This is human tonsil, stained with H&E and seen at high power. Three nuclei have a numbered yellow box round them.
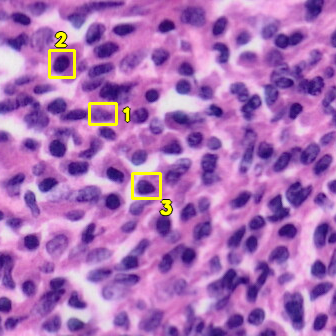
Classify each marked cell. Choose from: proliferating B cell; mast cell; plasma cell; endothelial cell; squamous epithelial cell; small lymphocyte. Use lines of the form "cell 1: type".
cell 1: squamous epithelial cell
cell 2: plasma cell
cell 3: plasma cell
